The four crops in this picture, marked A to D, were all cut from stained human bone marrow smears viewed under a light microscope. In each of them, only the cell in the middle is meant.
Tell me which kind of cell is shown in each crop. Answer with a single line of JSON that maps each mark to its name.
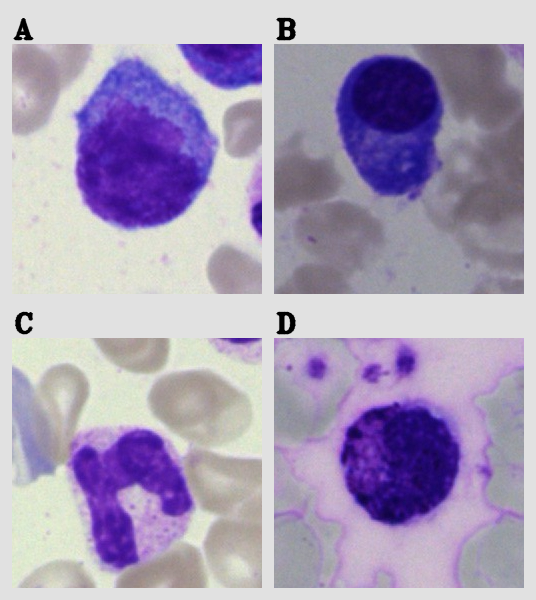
{"A": "monocyte", "B": "plasma cell", "C": "neutrophil", "D": "basophil"}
